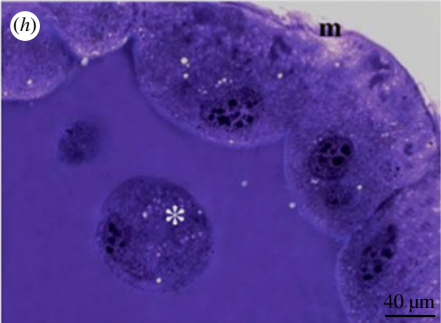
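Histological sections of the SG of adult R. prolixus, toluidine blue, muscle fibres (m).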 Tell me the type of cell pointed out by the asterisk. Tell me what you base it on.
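A rounded cell with its own nucleus lies free in the lumen. It is separate from the epithelial layer. On this evidence: entire cells detached from the epithelium.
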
